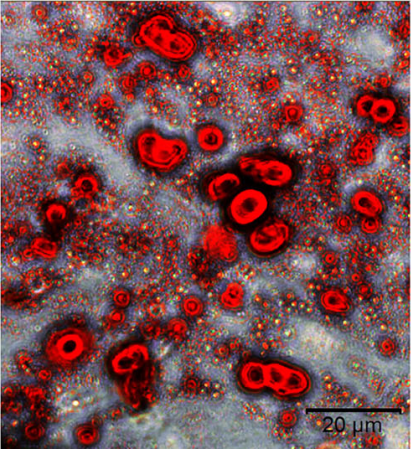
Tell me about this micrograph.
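Numerous small round red droplets are scattered densely across the whole field. Among them lie larger red bodies, many appearing as rings with darker rims, and some merged into clustered or lobed shapes. The droplets vary widely in size, from tiny dots to bodies several times larger.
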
